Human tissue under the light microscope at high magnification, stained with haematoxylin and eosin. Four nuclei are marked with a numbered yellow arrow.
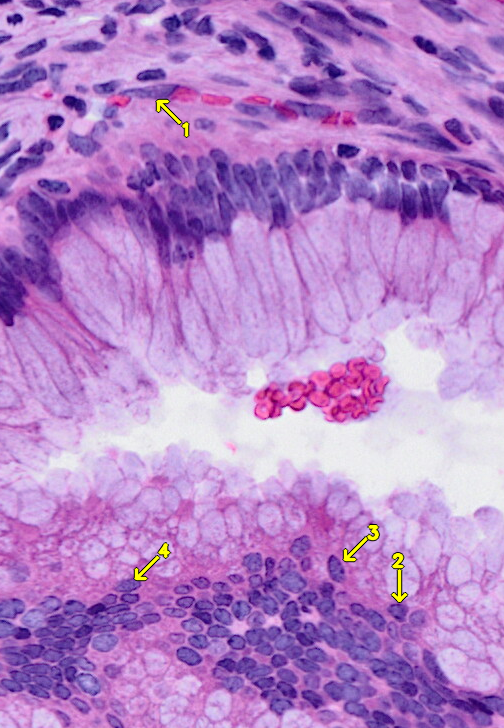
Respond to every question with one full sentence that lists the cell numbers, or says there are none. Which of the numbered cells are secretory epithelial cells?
Identified as secretory epithelial cells are the cells numbered 2, 3 and 4.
